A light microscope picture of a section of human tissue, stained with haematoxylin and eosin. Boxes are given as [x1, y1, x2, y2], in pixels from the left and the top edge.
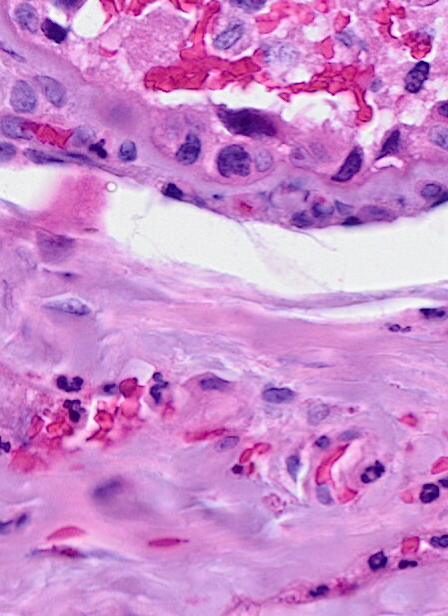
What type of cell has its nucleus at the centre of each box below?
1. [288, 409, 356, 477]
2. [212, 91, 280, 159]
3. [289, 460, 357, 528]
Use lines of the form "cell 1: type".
cell 1: endothelial cell
cell 2: carcinoma cell
cell 3: endothelial cell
